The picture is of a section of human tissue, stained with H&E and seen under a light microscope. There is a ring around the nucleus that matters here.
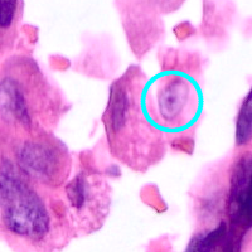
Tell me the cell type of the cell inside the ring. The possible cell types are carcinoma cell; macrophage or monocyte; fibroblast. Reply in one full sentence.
Assigned to a cell type, the cell inside the ring is a macrophage or monocyte.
